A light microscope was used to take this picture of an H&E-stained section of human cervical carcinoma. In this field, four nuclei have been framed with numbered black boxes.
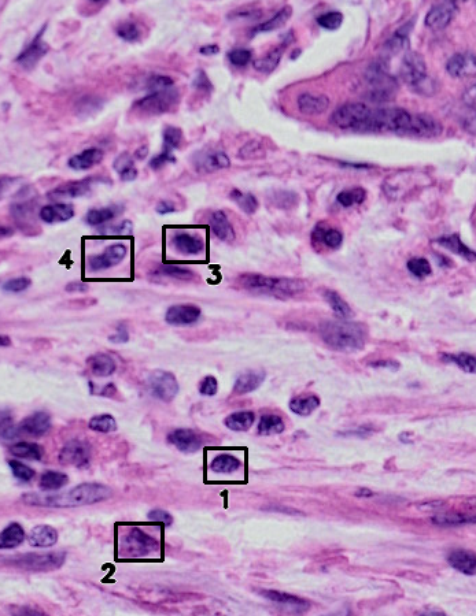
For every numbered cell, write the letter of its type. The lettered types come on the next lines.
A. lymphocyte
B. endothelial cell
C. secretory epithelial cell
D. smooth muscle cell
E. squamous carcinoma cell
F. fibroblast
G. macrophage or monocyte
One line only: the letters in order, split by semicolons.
A; G; A; A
